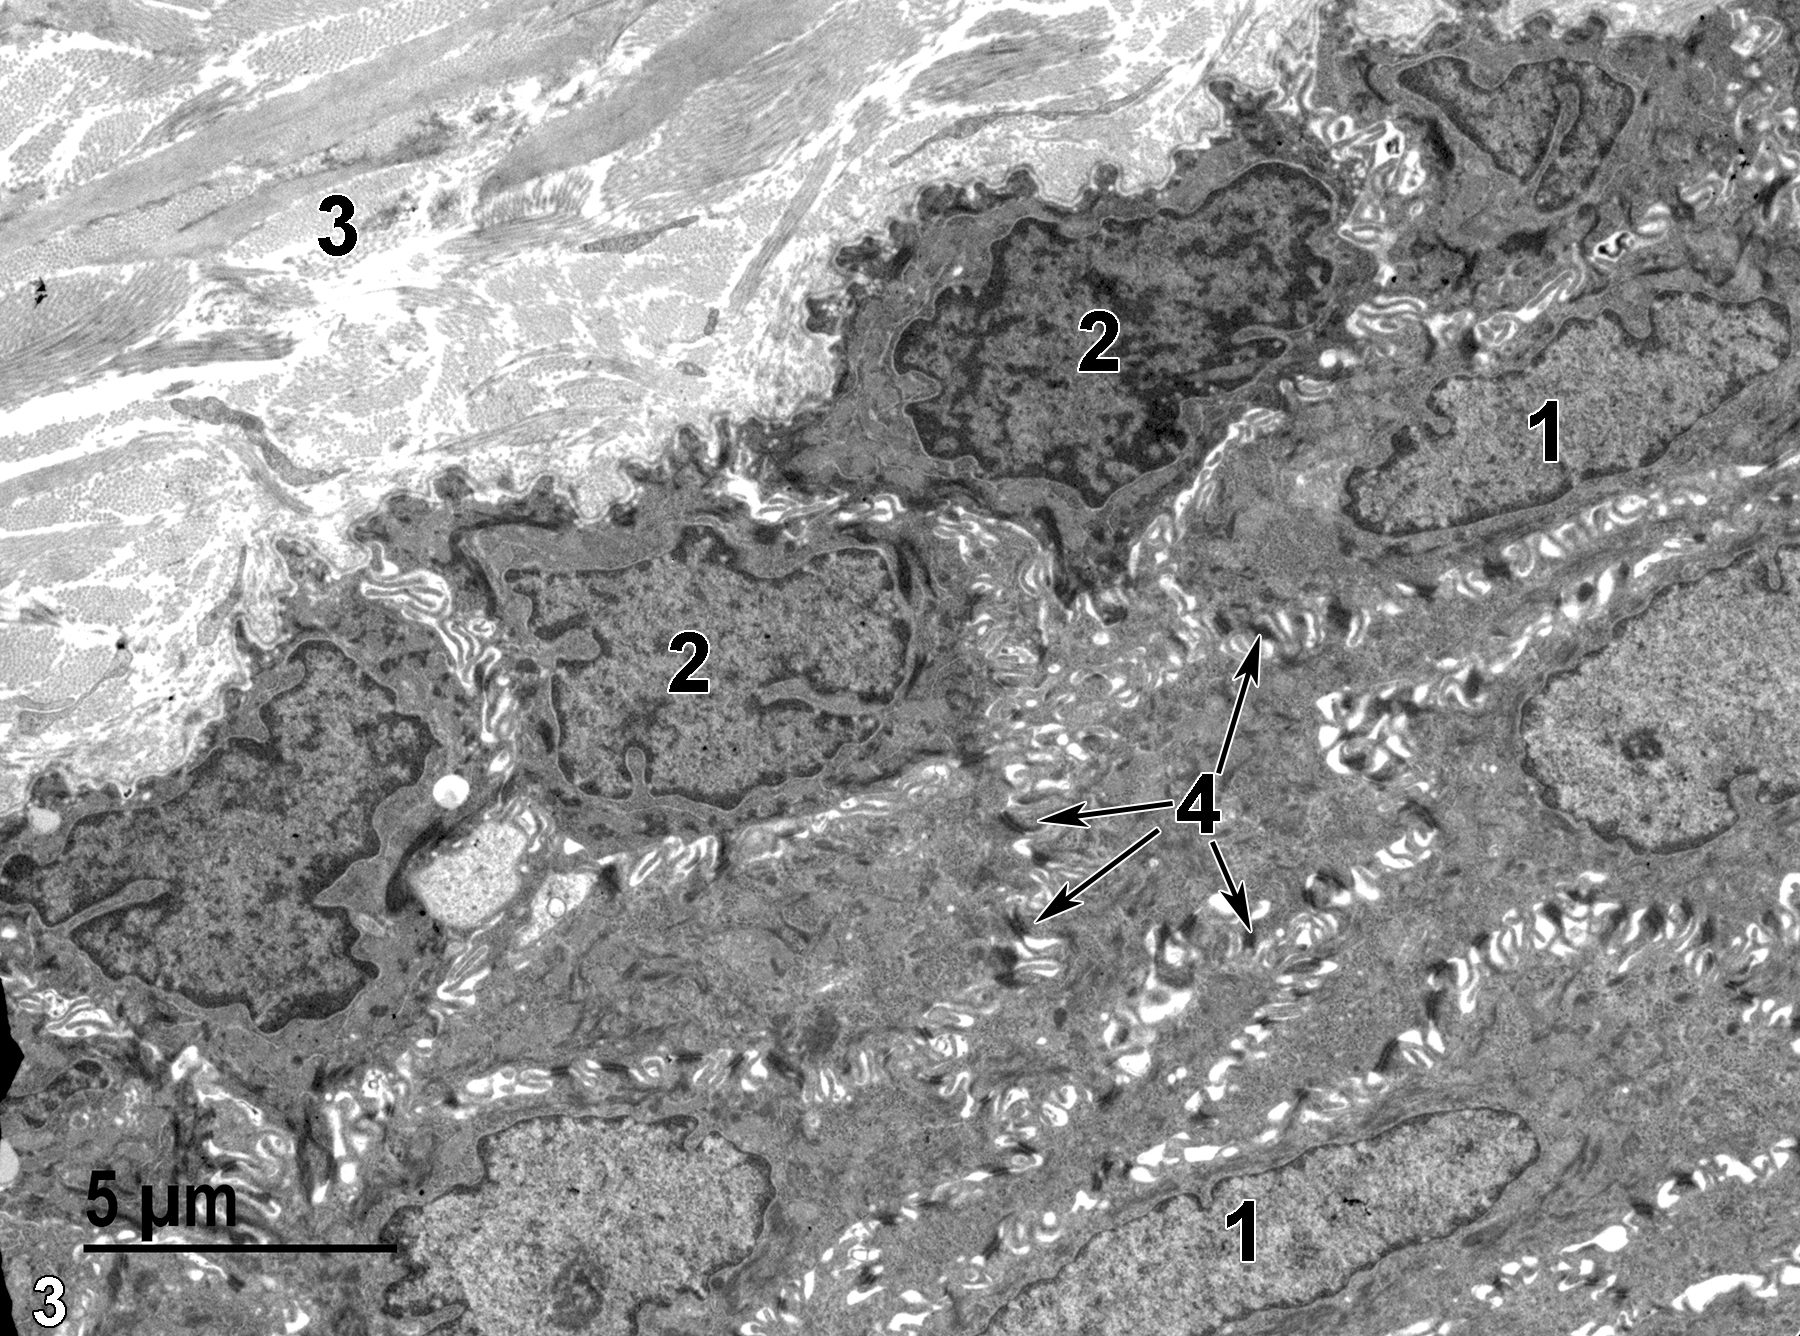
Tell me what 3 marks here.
3 marks the bundles of collagen.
